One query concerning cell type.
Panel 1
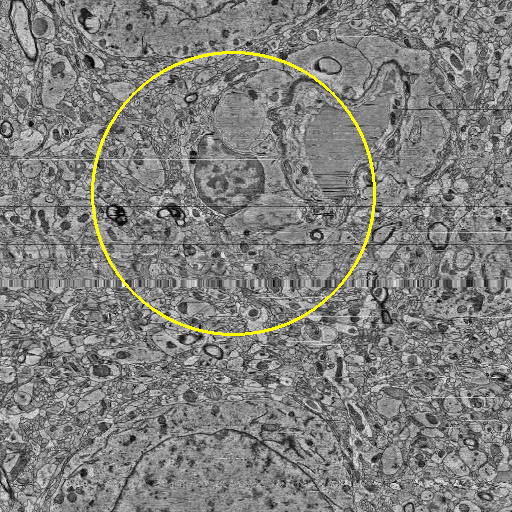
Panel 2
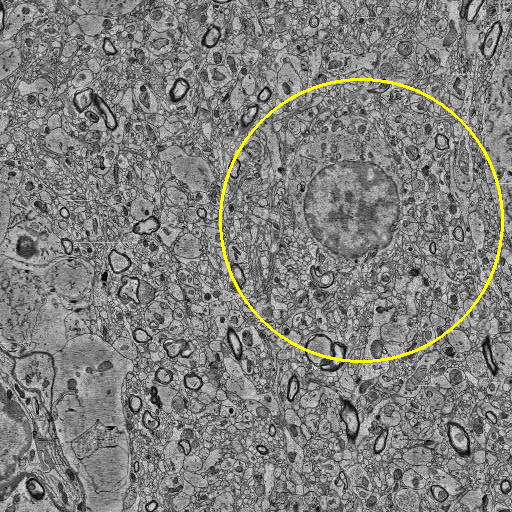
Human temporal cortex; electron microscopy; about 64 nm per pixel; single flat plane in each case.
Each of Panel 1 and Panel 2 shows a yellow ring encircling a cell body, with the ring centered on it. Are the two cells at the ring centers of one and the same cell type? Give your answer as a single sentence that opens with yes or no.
No, the cell centered in Panel 1 and the one in Panel 2 are of two types.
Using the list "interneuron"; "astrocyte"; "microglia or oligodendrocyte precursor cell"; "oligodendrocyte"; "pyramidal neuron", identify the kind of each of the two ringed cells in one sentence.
The first is a microglial cell or oligodendrocyte precursor cell and the second is an oligodendrocyte.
